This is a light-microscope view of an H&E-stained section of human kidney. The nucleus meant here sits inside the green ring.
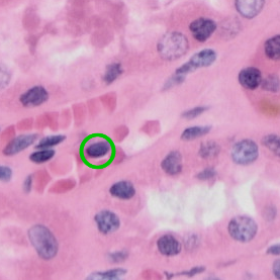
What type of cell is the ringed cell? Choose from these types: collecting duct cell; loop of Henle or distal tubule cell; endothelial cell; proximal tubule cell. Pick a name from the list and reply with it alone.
endothelial cell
